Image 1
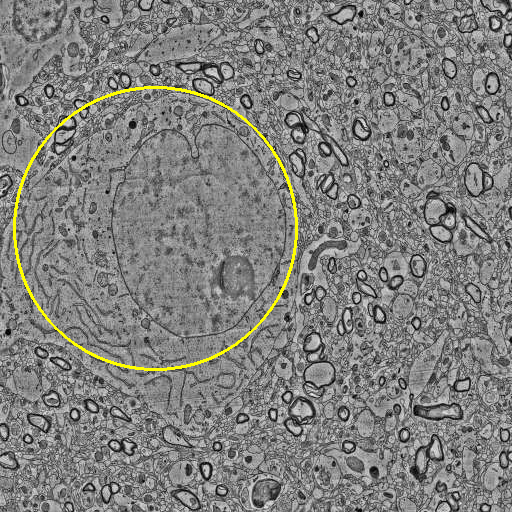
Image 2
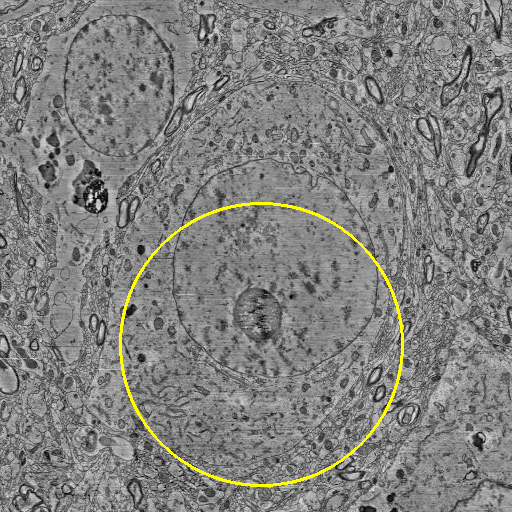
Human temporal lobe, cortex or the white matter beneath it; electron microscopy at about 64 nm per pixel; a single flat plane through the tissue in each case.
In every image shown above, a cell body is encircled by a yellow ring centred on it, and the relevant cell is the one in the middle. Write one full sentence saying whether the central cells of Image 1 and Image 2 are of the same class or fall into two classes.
The cell at the ring's centre in Image 1 and its counterpart in Image 2 are of the same class.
